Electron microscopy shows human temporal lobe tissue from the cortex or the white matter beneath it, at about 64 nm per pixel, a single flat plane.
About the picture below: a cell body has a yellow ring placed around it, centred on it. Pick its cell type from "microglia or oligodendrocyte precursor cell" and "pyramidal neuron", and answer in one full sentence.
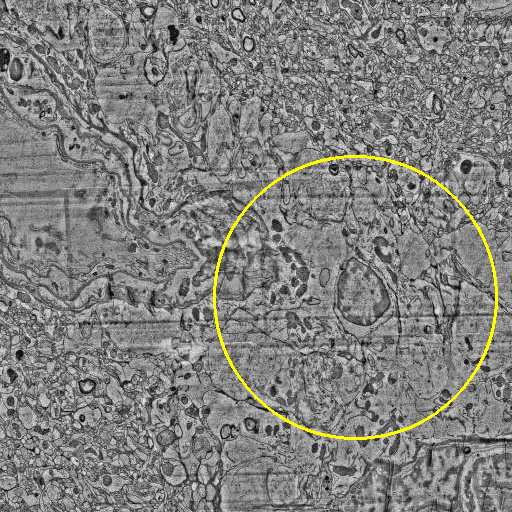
In the picture, a microglial cell or oligodendrocyte precursor cell is the cell sitting at the centre of the yellow ring.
